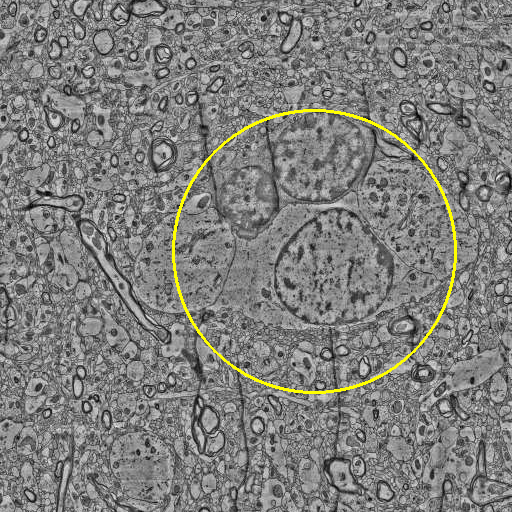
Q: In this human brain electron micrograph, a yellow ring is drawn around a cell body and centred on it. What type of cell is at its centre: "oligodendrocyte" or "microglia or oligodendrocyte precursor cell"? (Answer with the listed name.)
microglia or oligodendrocyte precursor cell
